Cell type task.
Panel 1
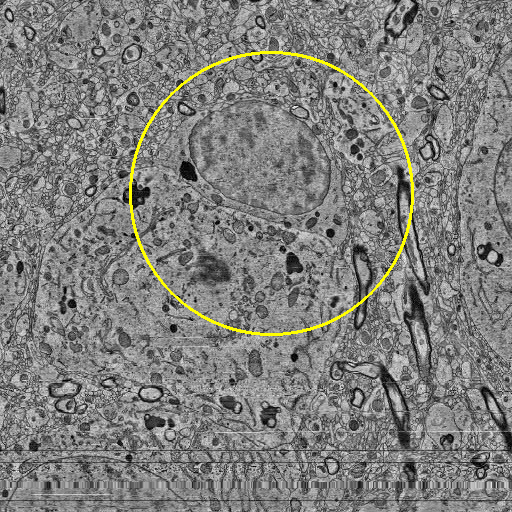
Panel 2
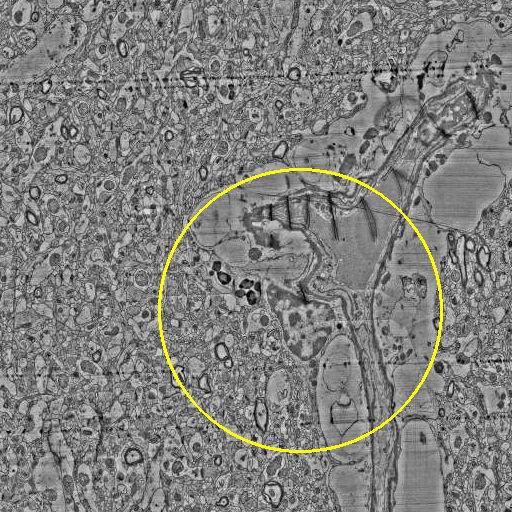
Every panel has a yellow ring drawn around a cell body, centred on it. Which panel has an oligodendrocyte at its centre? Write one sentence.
It sits at the centre of the ring in Panel 1.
